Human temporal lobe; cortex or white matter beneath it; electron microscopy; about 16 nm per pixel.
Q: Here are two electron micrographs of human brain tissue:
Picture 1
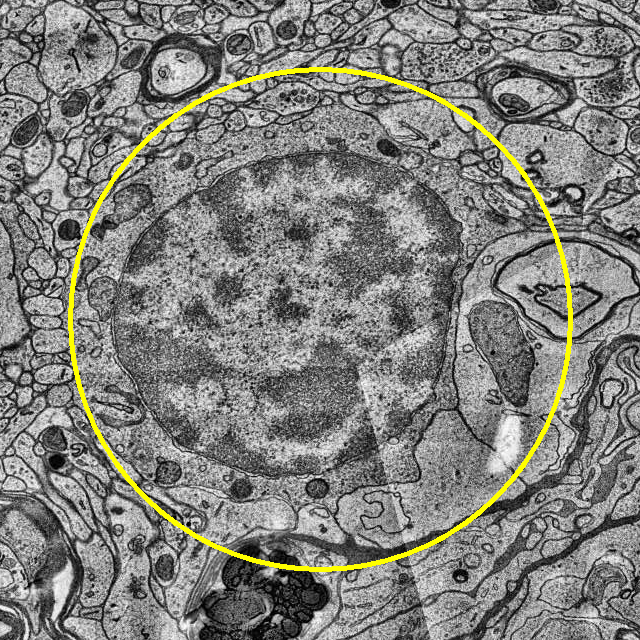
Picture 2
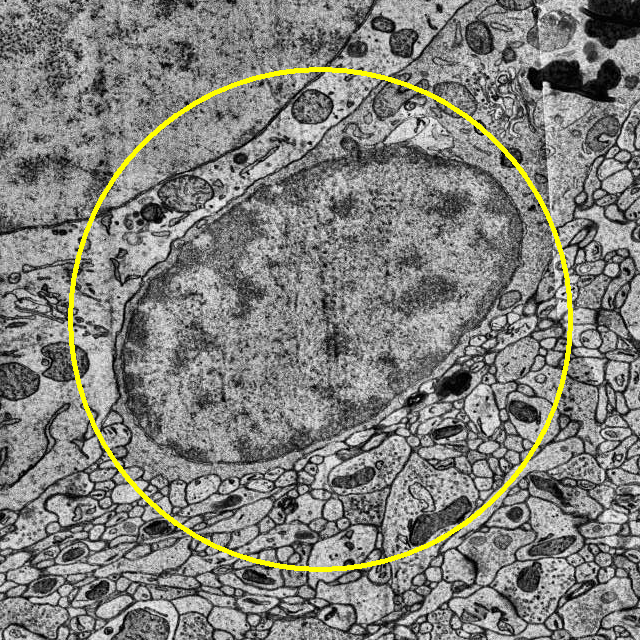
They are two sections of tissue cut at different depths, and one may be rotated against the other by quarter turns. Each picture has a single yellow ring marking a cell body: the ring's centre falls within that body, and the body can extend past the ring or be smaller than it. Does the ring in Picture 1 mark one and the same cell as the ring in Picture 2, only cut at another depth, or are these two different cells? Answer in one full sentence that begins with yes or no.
No, one ring and the other ring mark two distinct cells.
